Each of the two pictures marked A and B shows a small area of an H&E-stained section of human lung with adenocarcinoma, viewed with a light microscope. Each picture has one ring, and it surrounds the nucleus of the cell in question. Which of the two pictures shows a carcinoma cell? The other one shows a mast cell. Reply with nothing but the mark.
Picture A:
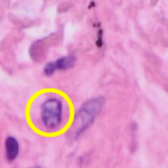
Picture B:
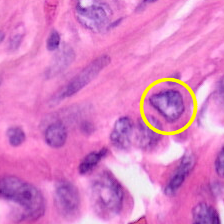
B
